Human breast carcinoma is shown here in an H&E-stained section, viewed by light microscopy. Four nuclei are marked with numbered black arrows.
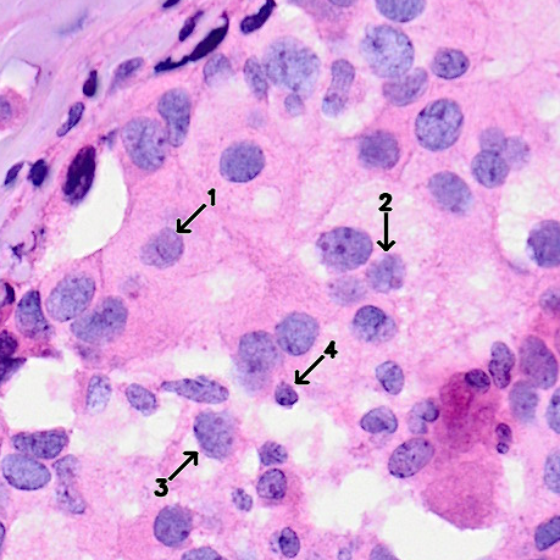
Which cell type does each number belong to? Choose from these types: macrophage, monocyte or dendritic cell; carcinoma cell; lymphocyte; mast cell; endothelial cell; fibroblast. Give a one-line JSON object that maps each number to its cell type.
{"1": "carcinoma cell", "2": "carcinoma cell", "3": "carcinoma cell", "4": "lymphocyte"}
